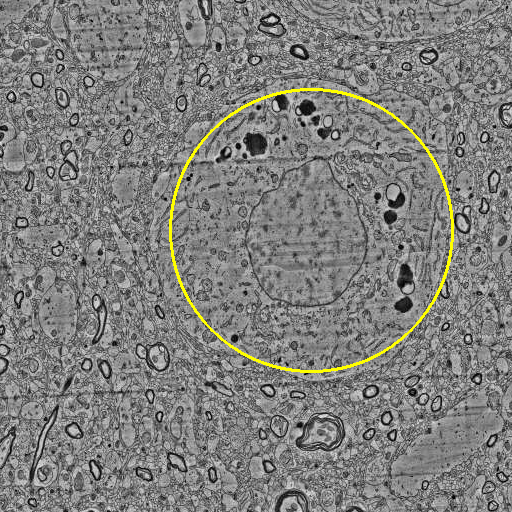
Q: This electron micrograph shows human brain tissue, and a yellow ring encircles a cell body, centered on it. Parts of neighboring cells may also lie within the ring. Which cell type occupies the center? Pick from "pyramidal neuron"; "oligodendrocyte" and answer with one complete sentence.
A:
What sits at the ring's center in this micrograph is a pyramidal neuron, among those choices.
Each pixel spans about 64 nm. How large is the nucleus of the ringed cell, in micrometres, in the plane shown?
In this plane the nucleus spans approximately 10 by 8 micrometers.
